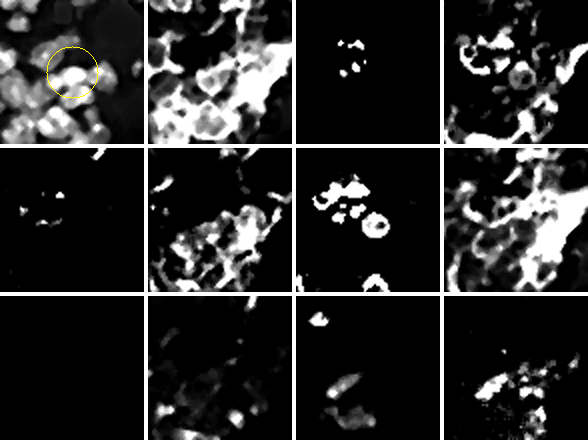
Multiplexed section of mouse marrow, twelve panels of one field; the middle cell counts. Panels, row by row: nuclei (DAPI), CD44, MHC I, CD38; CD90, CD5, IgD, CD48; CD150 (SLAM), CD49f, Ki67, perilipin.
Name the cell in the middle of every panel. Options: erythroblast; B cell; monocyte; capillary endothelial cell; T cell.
B cell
